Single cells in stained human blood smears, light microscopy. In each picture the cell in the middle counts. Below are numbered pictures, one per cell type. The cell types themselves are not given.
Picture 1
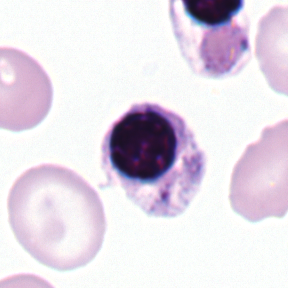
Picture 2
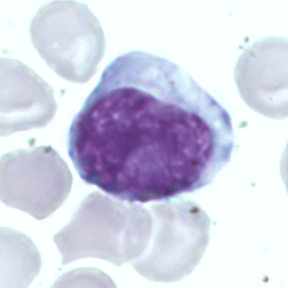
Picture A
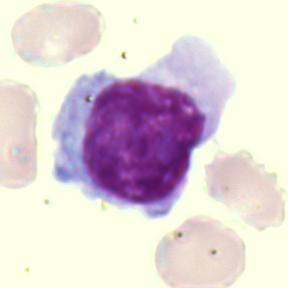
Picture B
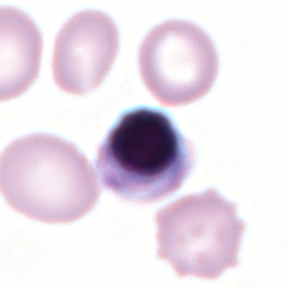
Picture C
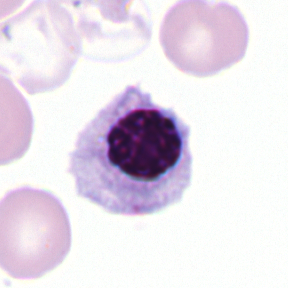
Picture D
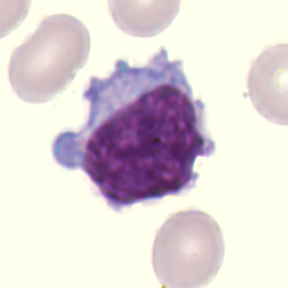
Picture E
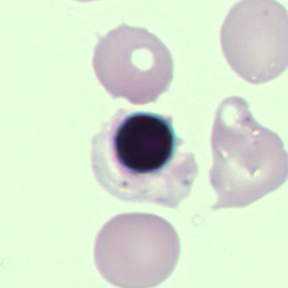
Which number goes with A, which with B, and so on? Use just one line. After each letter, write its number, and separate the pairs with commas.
A 2, B 1, C 1, D 2, E 1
